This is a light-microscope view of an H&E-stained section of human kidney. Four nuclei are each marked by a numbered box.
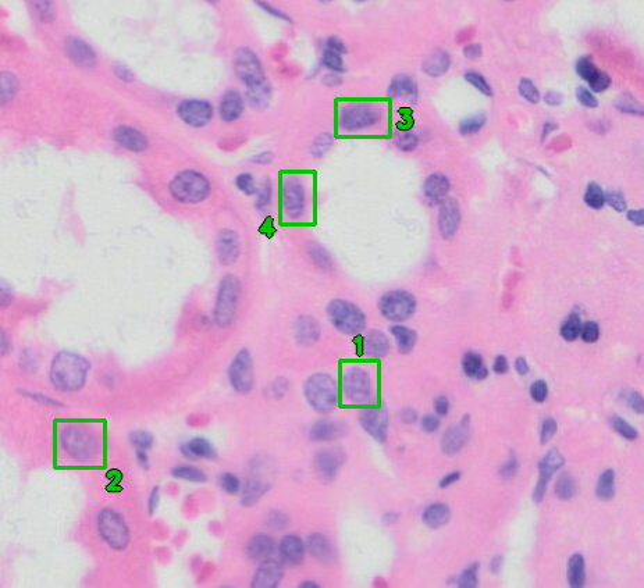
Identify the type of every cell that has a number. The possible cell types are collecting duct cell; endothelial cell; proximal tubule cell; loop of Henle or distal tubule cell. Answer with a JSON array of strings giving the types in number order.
["collecting duct cell", "proximal tubule cell", "collecting duct cell", "collecting duct cell"]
